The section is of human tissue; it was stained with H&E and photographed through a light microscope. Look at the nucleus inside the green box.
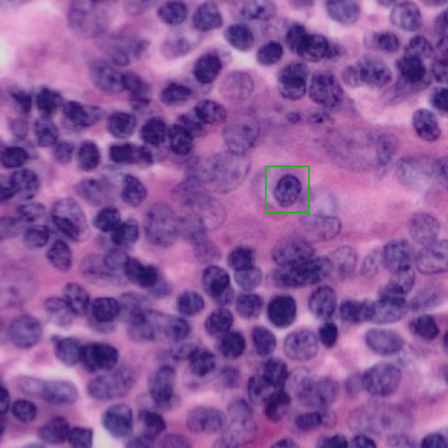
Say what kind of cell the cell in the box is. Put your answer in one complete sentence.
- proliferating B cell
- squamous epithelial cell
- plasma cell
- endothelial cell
The cell in the box is an endothelial cell.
